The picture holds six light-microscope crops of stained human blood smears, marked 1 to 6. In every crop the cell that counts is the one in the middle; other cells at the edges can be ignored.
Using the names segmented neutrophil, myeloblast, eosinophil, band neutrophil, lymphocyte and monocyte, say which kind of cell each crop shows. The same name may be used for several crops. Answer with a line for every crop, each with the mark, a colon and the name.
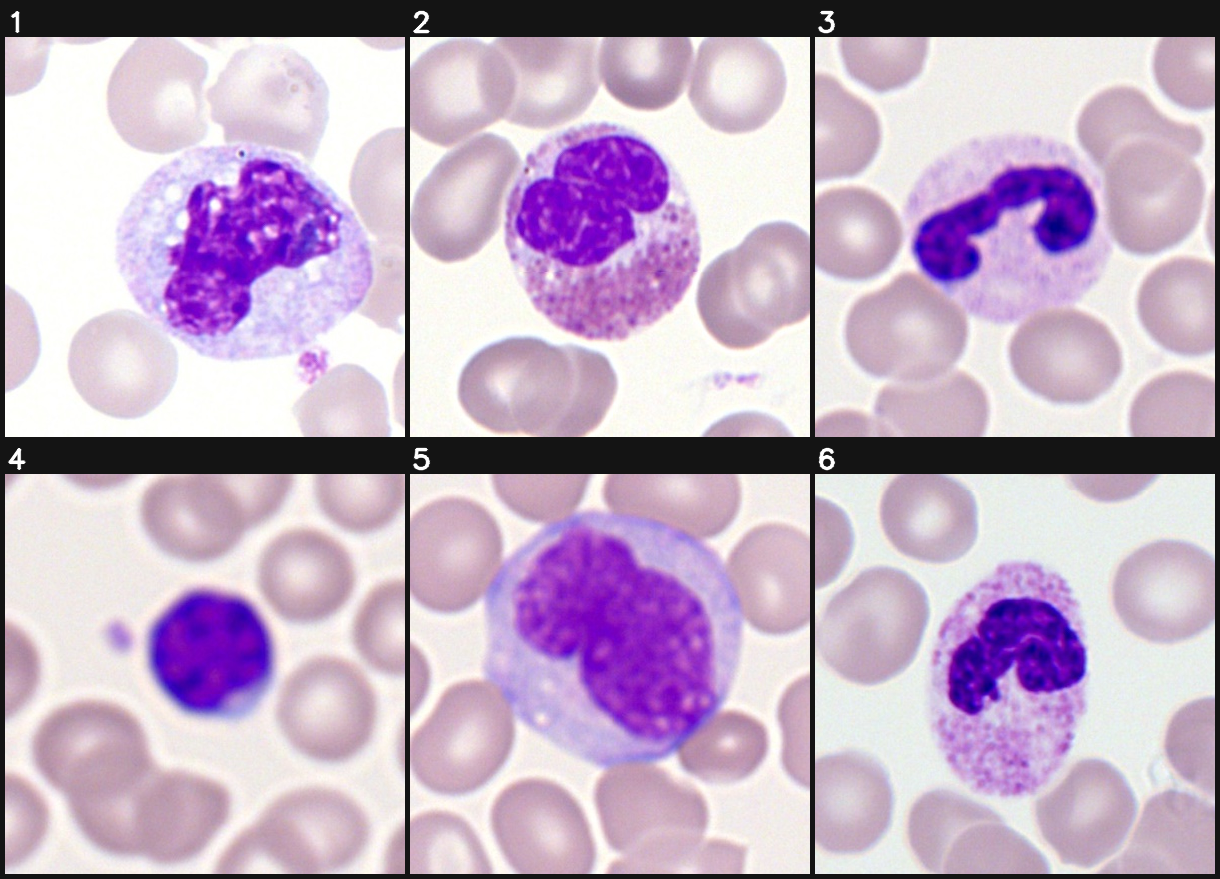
1: monocyte
2: eosinophil
3: band neutrophil
4: lymphocyte
5: monocyte
6: band neutrophil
